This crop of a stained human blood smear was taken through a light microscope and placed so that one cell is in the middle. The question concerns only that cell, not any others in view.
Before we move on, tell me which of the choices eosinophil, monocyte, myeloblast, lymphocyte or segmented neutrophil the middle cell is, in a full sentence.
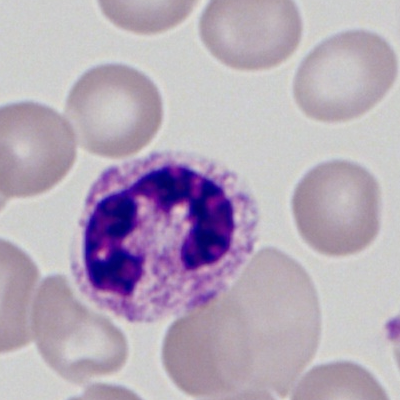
The cell in the middle of the field of view is a segmented neutrophil.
